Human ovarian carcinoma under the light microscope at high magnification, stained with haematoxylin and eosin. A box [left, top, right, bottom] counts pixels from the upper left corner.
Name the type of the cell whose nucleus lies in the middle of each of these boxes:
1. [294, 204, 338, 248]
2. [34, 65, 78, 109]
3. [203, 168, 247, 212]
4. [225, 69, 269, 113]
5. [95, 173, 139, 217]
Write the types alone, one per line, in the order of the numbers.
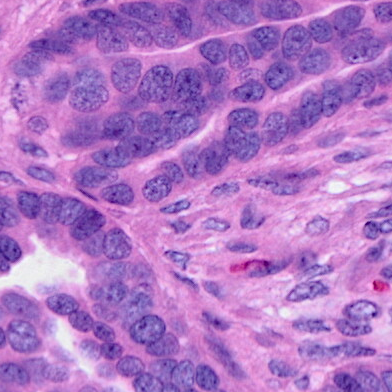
fibroblast
carcinoma cell
fibroblast
carcinoma cell
carcinoma cell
